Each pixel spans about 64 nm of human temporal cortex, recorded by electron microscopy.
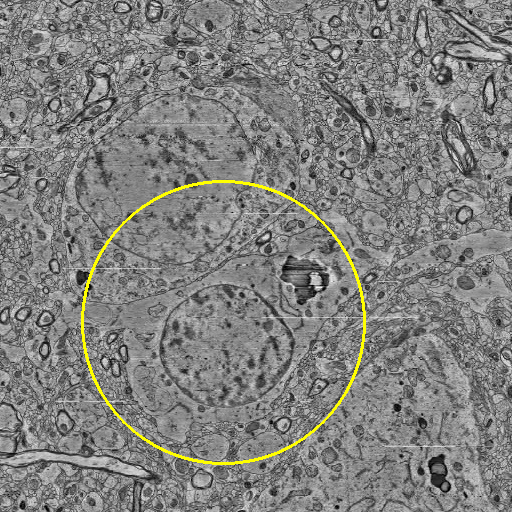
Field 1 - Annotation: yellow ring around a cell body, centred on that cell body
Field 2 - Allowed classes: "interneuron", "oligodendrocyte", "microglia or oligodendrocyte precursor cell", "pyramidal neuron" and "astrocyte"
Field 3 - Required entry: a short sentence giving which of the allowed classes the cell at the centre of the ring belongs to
The centred cell is an astrocyte.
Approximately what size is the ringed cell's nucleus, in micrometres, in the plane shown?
About 8 micrometres across, as seen in this plane.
